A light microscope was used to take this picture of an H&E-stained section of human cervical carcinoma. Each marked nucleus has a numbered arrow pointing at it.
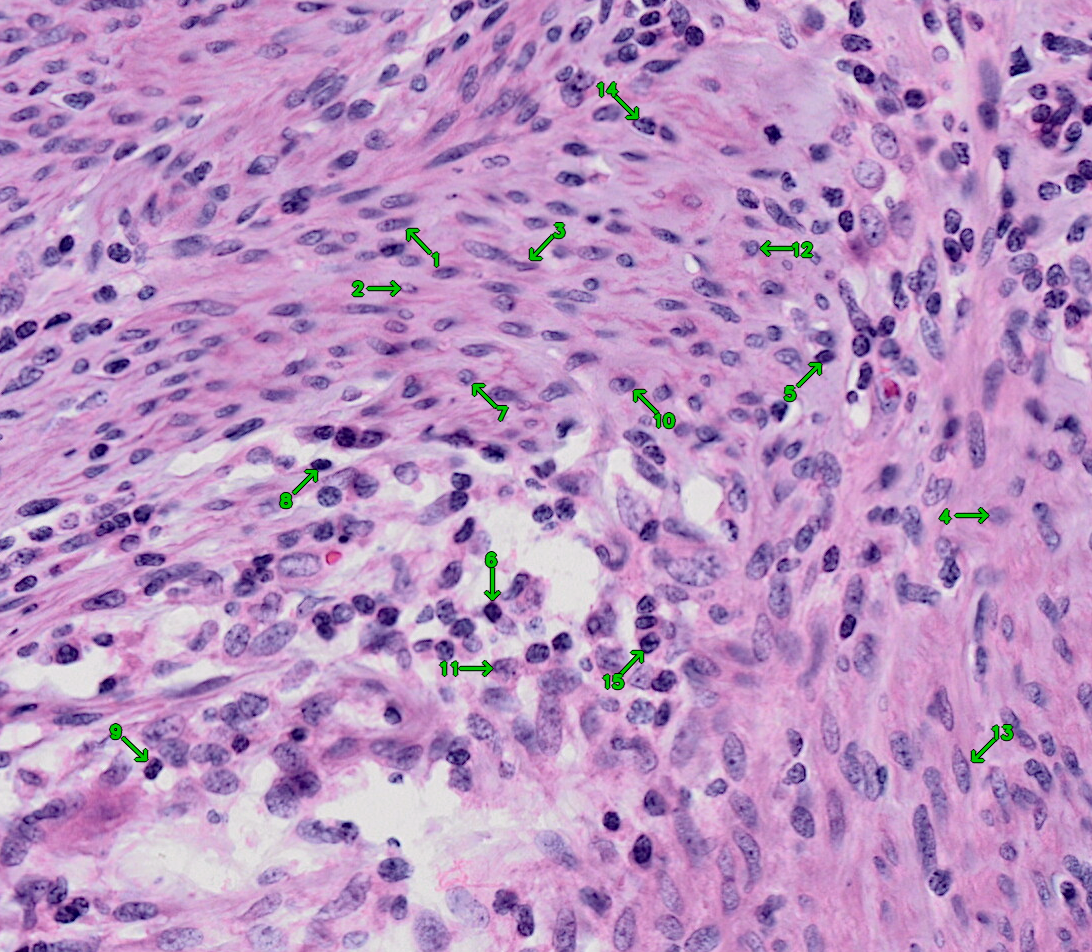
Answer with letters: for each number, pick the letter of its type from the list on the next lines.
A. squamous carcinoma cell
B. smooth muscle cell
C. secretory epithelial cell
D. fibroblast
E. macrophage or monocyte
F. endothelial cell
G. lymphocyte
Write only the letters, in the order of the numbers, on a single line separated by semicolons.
B; B; B; B; G; G; B; G; G; B; E; B; B; G; G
